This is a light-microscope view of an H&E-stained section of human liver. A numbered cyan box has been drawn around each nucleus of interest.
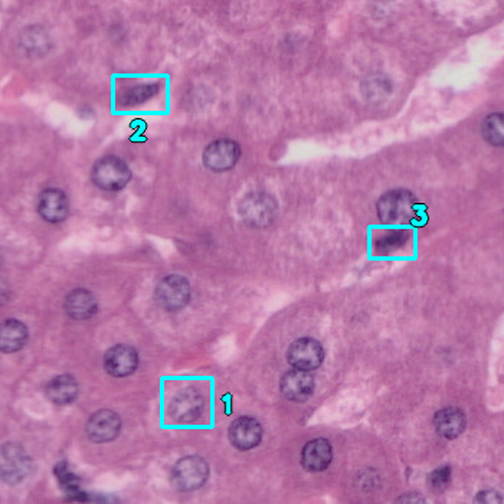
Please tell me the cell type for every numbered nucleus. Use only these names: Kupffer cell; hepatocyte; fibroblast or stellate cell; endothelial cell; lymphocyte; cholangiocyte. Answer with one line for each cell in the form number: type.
1: hepatocyte
2: Kupffer cell
3: fibroblast or stellate cell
